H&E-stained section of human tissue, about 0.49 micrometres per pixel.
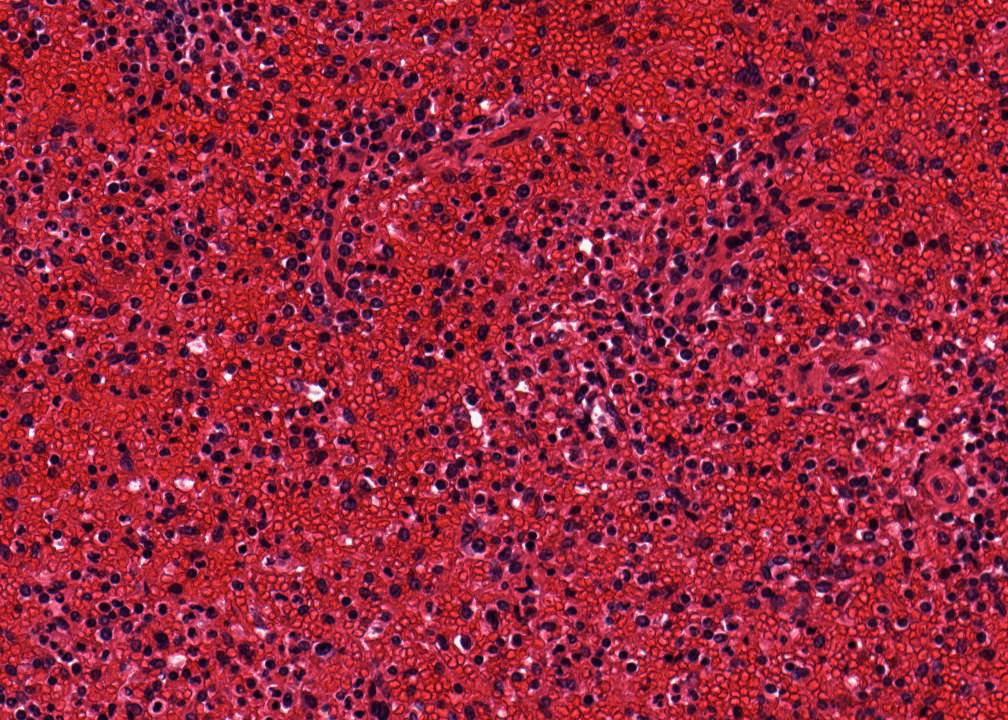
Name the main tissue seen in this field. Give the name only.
red pulp of the spleen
